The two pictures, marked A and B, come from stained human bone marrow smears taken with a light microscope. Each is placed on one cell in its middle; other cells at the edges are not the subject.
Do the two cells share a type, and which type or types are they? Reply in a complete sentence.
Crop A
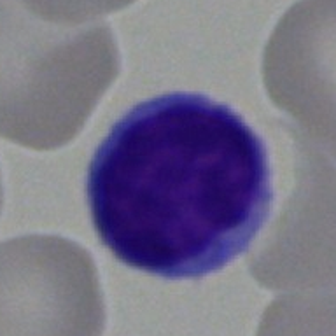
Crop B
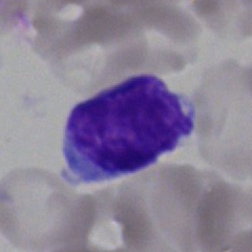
Yes, the same answer goes for both crops, namely lymphocytes.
